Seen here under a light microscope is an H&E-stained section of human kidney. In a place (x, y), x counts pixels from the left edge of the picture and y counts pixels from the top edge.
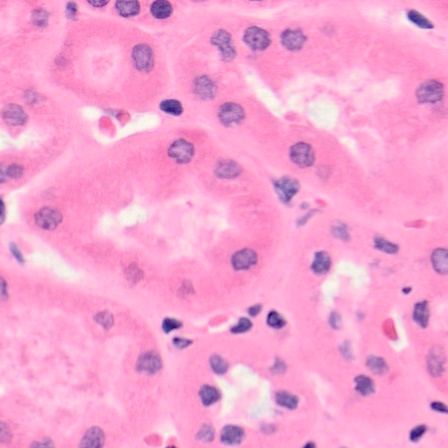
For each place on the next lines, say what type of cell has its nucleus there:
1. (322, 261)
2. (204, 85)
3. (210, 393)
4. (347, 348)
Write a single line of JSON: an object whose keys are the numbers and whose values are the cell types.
{"1": "loop of Henle or distal tubule cell", "2": "proximal tubule cell", "3": "loop of Henle or distal tubule cell", "4": "loop of Henle or distal tubule cell"}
